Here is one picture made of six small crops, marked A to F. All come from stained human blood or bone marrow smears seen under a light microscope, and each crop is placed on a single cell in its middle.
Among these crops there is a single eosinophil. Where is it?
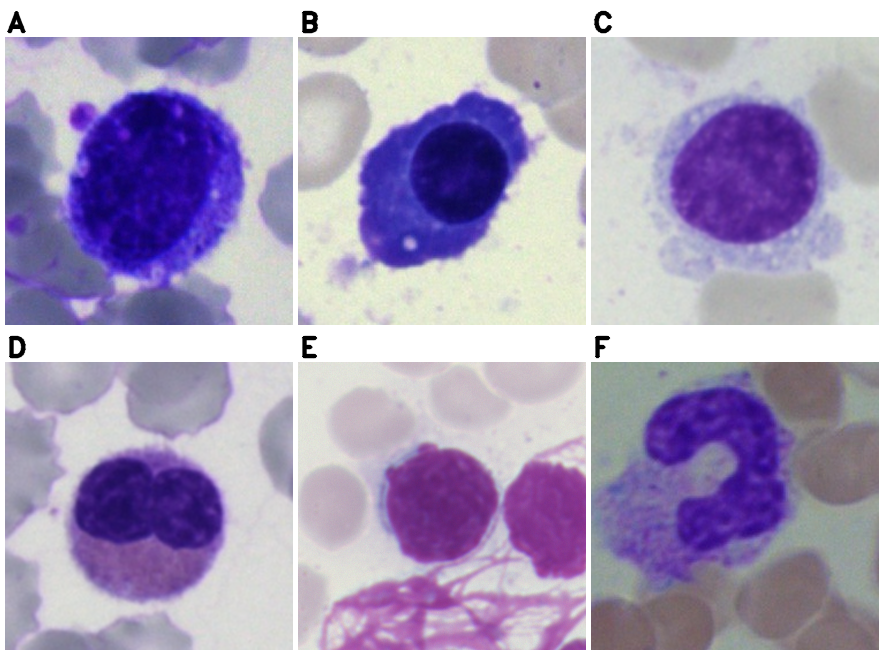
D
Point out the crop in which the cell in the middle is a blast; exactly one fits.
E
